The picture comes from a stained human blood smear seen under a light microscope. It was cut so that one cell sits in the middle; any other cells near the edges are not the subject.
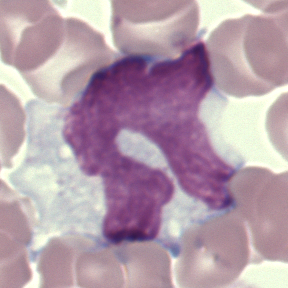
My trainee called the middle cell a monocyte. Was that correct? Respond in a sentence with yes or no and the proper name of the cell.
Yes, the cell found at the centre of the crop is a monocyte.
